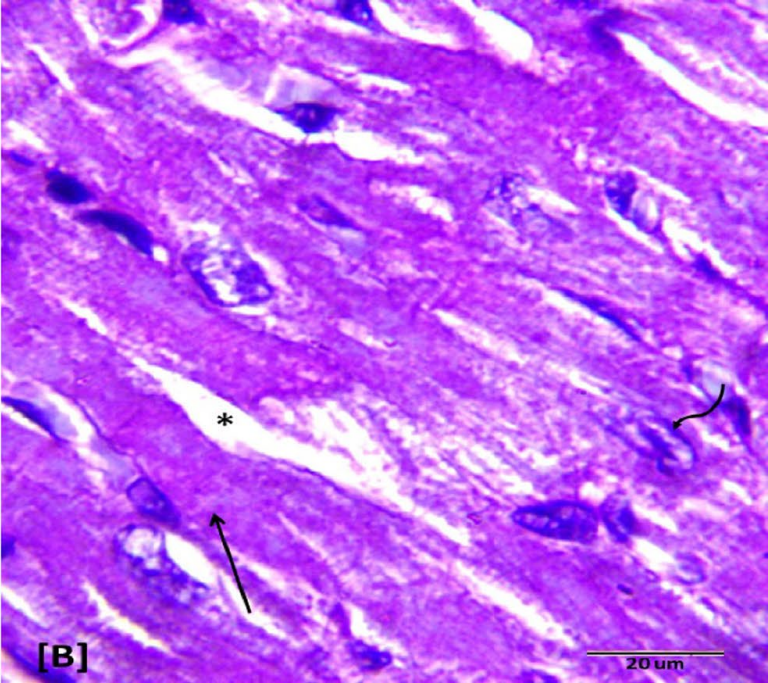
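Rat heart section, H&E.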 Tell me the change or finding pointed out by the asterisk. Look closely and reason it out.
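A broad white gap separates two pink muscle fibers. The gap is elongated along the fibers. The answer: widened spaces between the cardiac muscle fibers.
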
